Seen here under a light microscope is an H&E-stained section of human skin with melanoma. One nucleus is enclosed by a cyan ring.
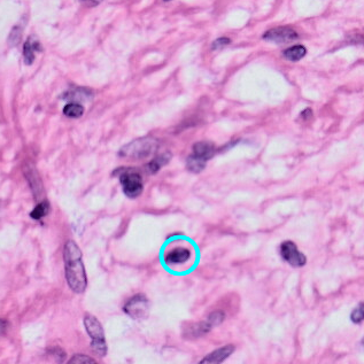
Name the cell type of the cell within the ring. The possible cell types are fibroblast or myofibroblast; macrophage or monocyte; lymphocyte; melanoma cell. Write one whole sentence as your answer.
Speaking plainly, the cell within the ring is nothing other than a lymphocyte.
